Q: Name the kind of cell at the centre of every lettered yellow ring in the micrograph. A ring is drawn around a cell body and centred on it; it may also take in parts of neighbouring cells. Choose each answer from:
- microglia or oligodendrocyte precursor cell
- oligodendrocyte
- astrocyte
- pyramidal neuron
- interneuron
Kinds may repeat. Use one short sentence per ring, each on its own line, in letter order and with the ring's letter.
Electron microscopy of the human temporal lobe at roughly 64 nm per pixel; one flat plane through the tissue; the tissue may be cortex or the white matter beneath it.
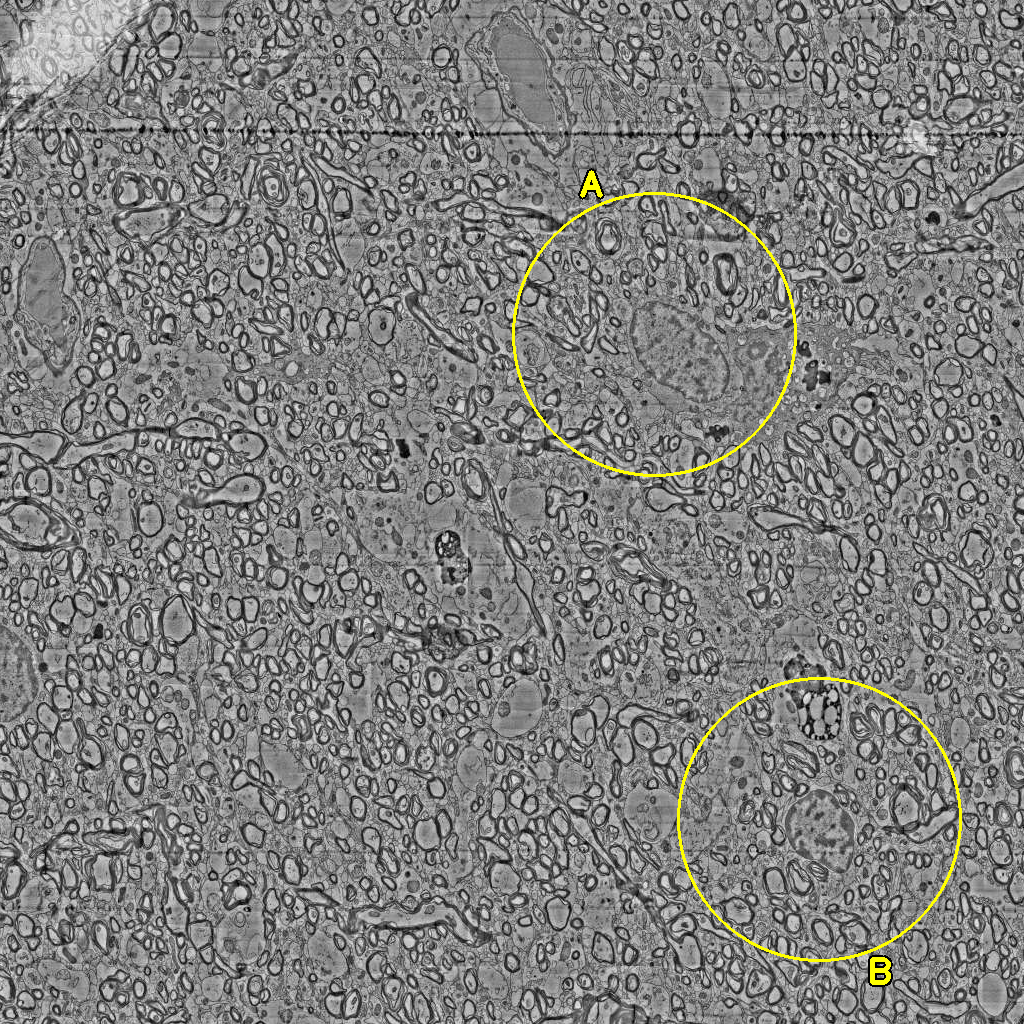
Ring A is placed around an oligodendrocyte.
Ring B is placed around a microglial cell or oligodendrocyte precursor cell.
